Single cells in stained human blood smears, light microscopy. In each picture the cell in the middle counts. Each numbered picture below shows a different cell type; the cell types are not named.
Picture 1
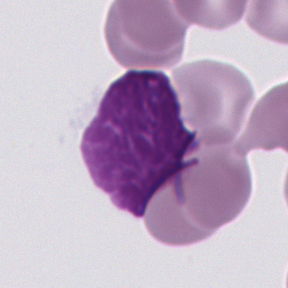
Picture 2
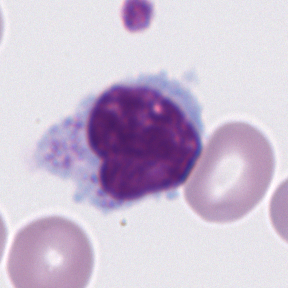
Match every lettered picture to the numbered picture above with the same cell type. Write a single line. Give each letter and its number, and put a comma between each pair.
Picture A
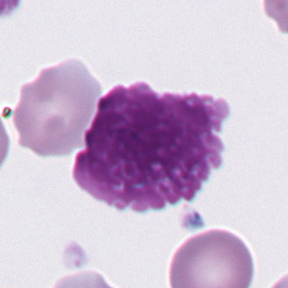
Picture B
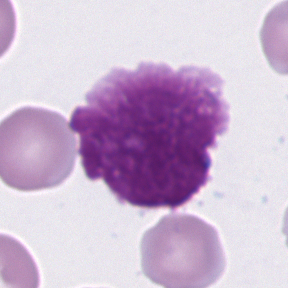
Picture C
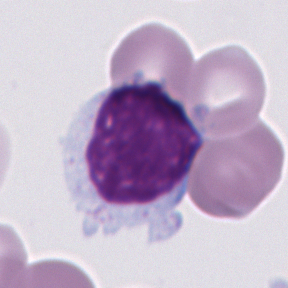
A 1, B 1, C 2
